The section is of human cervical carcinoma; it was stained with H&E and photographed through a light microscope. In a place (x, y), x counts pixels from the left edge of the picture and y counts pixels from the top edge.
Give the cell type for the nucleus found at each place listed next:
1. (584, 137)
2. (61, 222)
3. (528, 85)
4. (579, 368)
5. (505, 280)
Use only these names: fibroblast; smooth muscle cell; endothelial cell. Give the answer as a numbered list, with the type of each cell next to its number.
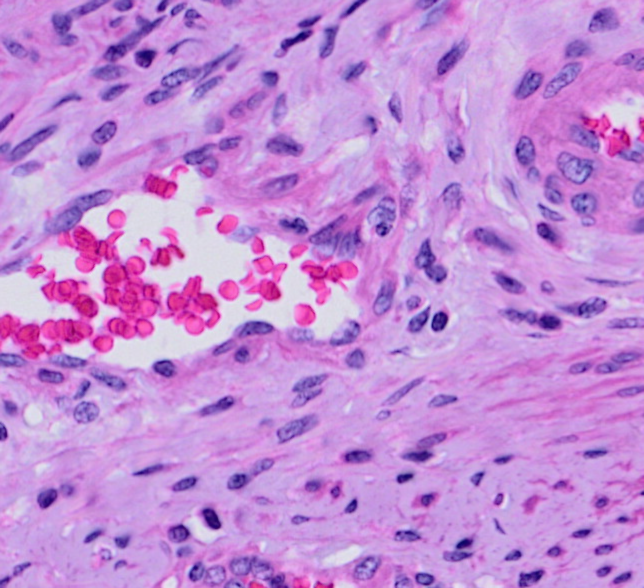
1. endothelial cell
2. endothelial cell
3. smooth muscle cell
4. smooth muscle cell
5. fibroblast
